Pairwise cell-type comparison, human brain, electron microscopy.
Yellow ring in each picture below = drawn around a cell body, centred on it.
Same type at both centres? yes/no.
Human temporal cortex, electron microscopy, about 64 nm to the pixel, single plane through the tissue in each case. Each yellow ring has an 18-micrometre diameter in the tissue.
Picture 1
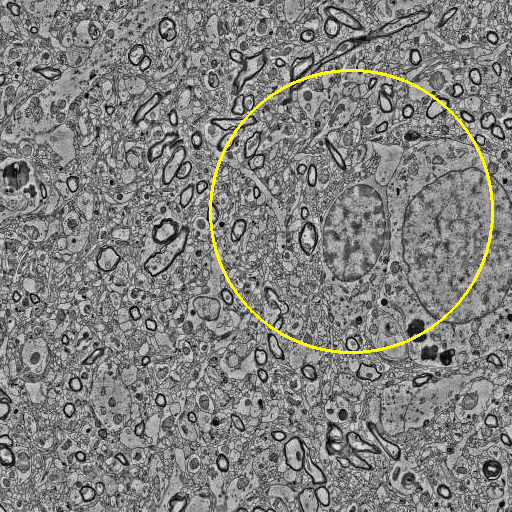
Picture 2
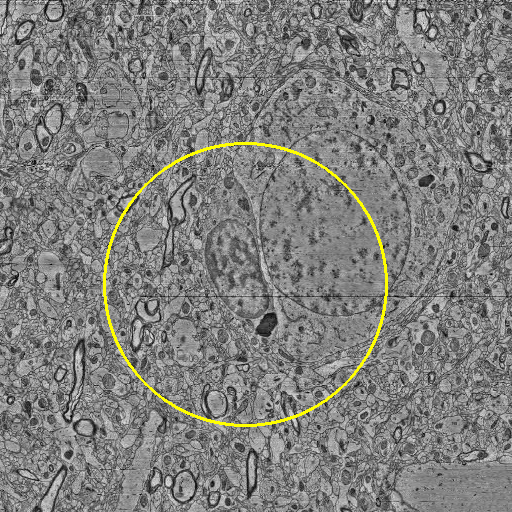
yes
